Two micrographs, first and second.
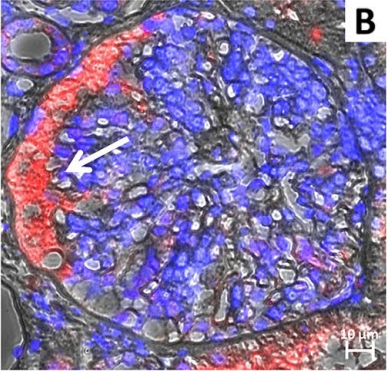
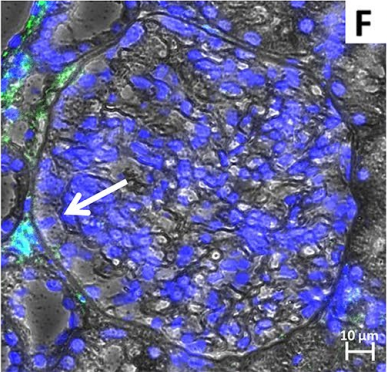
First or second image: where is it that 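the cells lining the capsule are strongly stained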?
The first image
